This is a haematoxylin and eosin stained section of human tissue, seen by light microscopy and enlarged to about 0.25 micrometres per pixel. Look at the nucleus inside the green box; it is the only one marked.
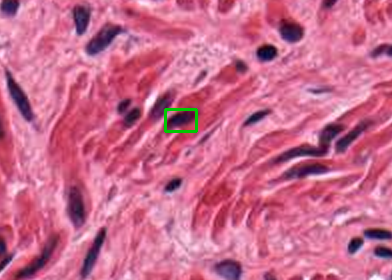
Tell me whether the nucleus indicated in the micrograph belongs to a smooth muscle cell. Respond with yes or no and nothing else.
yes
